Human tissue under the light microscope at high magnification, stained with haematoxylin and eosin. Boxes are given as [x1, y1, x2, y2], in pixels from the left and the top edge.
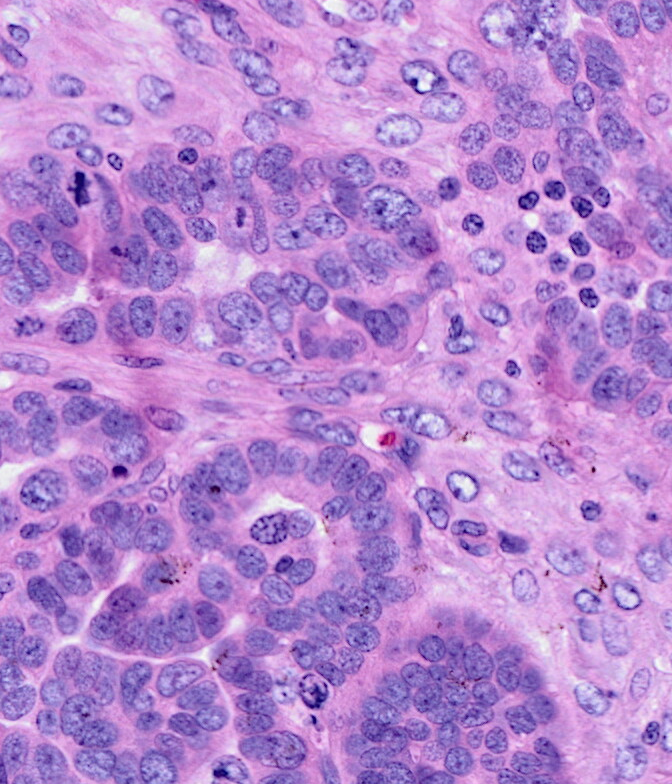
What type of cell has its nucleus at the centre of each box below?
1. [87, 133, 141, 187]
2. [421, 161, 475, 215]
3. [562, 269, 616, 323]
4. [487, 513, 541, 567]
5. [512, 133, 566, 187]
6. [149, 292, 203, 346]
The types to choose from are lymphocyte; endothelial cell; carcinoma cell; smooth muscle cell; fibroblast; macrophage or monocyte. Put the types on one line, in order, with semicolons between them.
lymphocyte; lymphocyte; lymphocyte; macrophage or monocyte; macrophage or monocyte; carcinoma cell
